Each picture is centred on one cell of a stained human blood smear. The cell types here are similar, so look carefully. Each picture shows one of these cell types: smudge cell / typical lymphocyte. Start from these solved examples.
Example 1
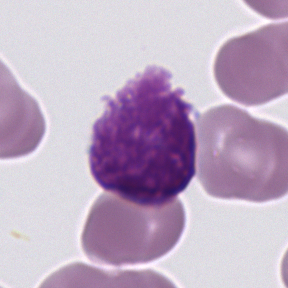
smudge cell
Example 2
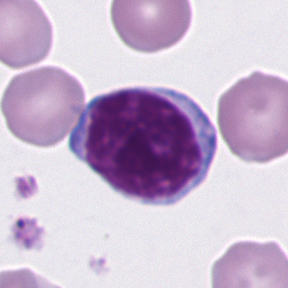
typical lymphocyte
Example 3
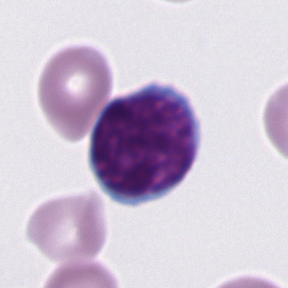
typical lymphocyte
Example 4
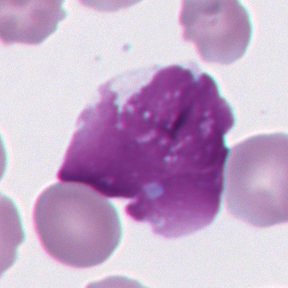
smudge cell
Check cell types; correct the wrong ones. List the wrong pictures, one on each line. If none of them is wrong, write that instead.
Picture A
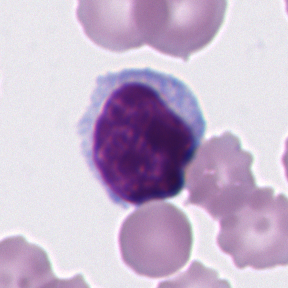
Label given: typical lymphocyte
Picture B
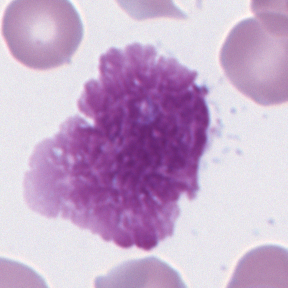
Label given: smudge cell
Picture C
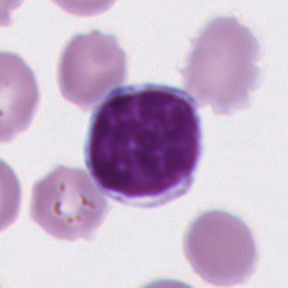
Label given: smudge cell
C: typical lymphocyte, not smudge cell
